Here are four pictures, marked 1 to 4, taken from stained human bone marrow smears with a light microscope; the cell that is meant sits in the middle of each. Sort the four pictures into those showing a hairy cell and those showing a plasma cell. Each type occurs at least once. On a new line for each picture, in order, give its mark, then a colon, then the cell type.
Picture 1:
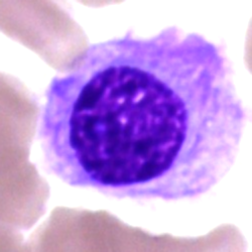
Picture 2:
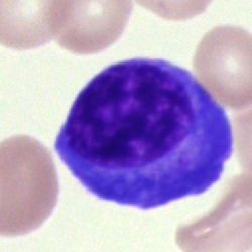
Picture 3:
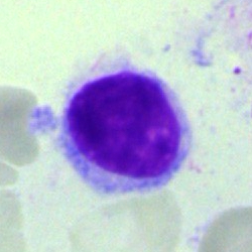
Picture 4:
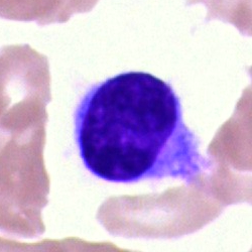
1: hairy cell
2: plasma cell
3: hairy cell
4: hairy cell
